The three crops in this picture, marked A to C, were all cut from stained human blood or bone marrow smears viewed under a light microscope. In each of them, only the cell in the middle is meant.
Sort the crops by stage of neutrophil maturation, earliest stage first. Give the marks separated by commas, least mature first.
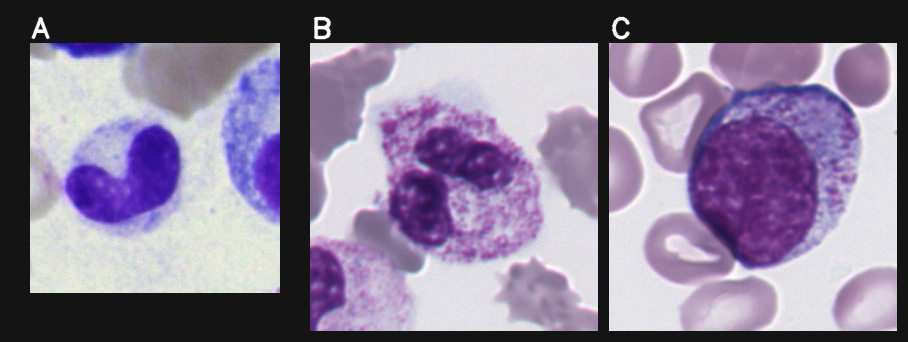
C, A, B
